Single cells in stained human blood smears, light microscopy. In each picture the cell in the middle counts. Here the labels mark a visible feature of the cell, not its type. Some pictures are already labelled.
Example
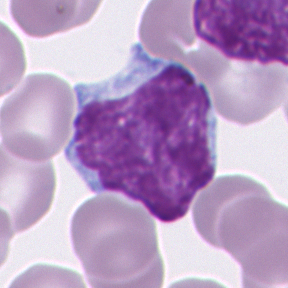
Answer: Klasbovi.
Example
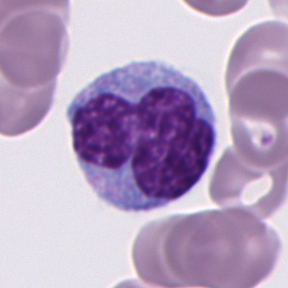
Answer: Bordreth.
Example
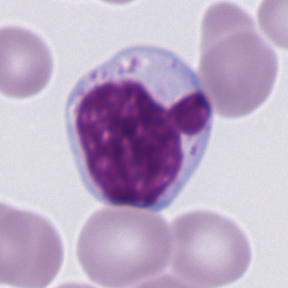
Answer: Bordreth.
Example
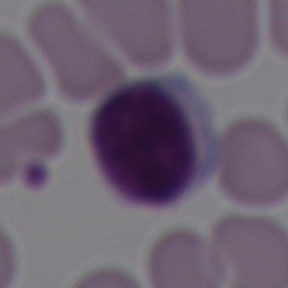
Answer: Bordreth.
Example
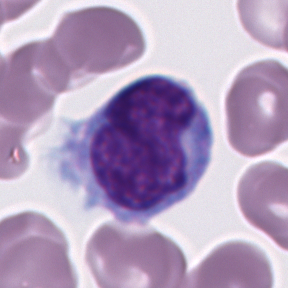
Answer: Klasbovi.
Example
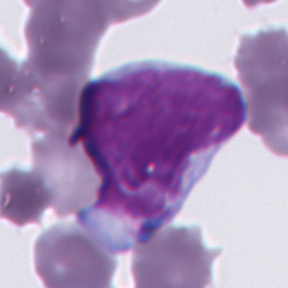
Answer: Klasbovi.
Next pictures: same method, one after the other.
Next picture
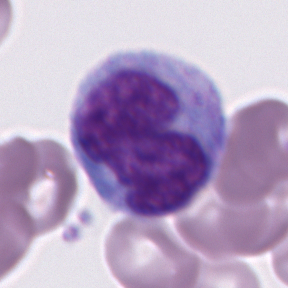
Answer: Bordreth.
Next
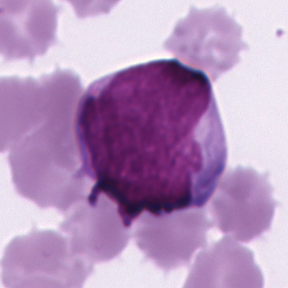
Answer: Klasbovi.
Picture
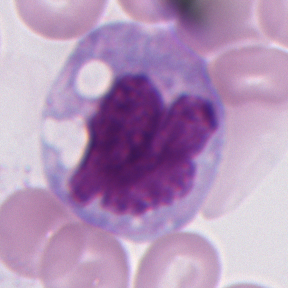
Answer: Bordreth.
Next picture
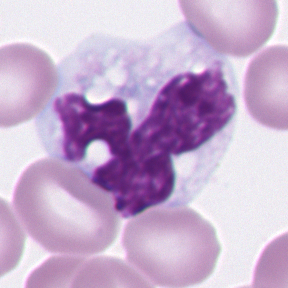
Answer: Bordreth.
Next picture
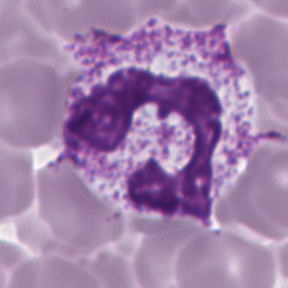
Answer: Klasbovi.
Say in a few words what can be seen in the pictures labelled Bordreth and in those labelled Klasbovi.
Seen in Bordreth: smooth outline; seen in Klasbovi: ragged outline or projections.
